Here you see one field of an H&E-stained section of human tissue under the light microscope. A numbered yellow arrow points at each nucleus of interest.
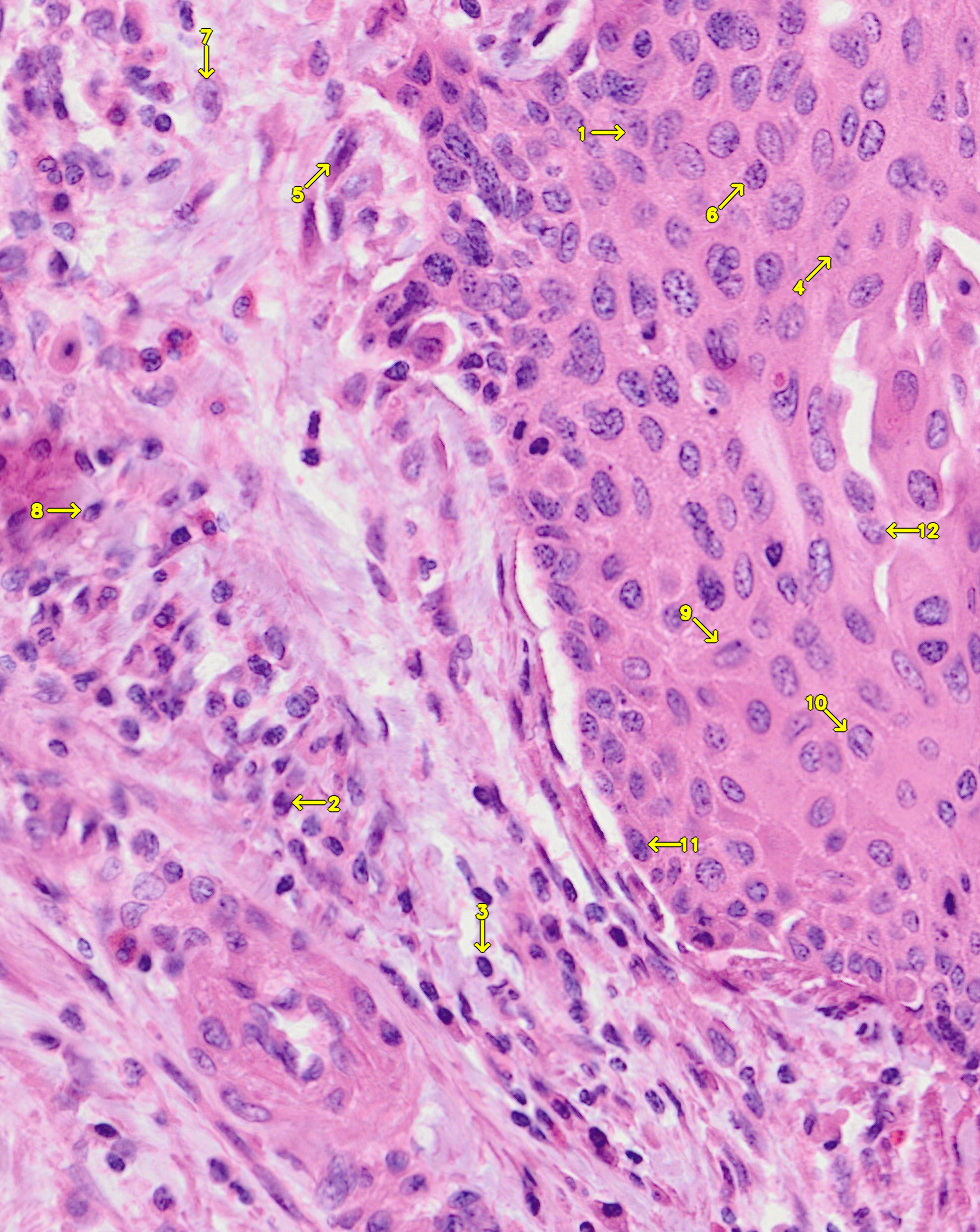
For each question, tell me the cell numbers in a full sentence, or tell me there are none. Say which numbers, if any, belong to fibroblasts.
The cells numbered 5 and 7 fall into the category of fibroblasts.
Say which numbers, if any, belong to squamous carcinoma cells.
Cells 1, 4, 6, 9, 10, 11 and 12 share one type; they are squamous carcinoma cells.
